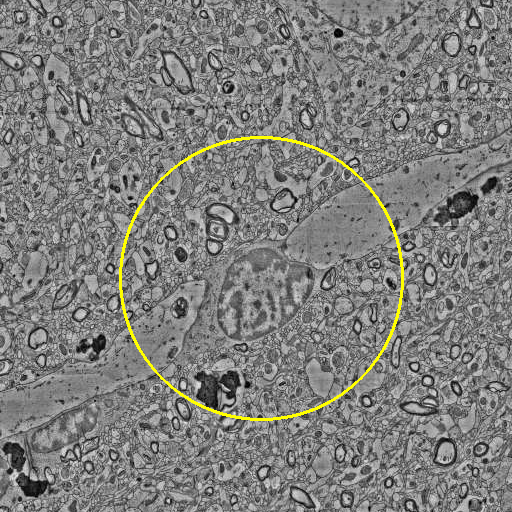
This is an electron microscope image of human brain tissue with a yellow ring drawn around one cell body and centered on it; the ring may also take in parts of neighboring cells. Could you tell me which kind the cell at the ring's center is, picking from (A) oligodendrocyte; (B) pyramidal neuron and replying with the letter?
A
